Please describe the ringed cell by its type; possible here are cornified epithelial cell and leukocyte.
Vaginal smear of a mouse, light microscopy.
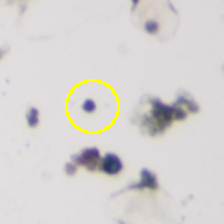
The yellow ring marks a leukocyte.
